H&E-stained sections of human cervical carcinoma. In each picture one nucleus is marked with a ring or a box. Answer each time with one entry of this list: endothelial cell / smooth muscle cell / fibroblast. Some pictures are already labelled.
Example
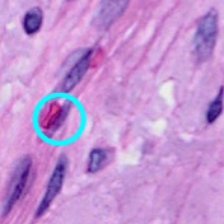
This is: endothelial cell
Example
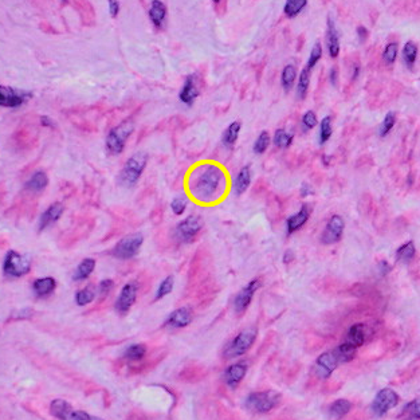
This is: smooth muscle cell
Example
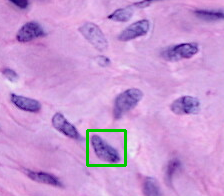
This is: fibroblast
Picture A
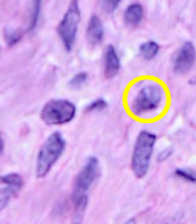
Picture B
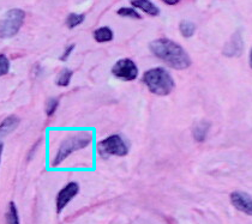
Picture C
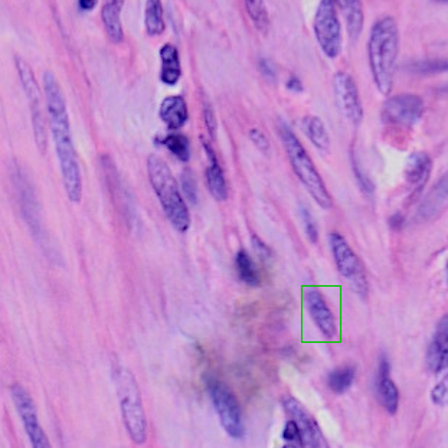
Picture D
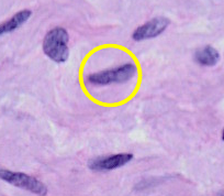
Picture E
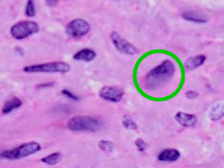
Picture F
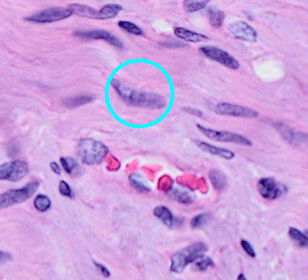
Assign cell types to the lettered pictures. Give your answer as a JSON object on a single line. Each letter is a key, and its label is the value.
{"A": "fibroblast", "B": "fibroblast", "C": "smooth muscle cell", "D": "fibroblast", "E": "fibroblast", "F": "fibroblast"}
